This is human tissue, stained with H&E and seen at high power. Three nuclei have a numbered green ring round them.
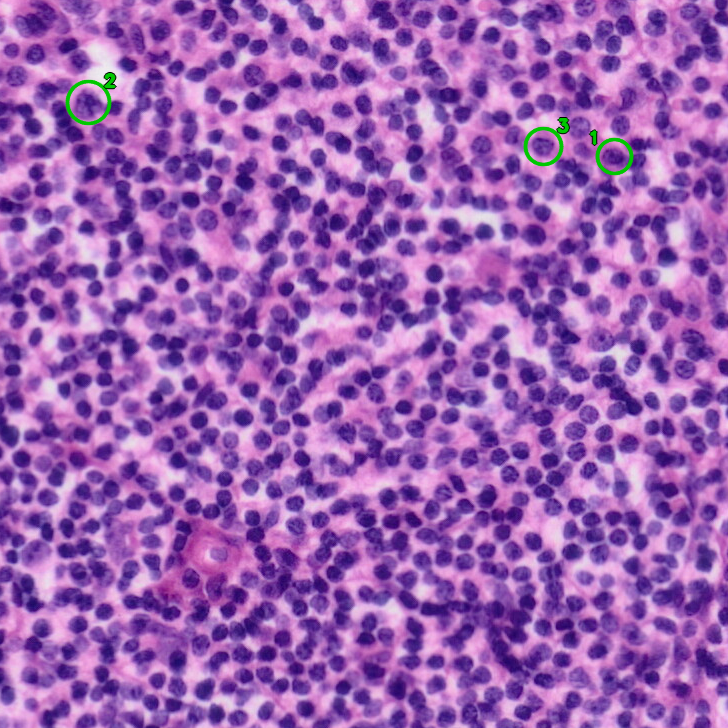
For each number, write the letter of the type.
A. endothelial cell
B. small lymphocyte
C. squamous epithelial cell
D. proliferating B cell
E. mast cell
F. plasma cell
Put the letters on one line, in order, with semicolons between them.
F; D; F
